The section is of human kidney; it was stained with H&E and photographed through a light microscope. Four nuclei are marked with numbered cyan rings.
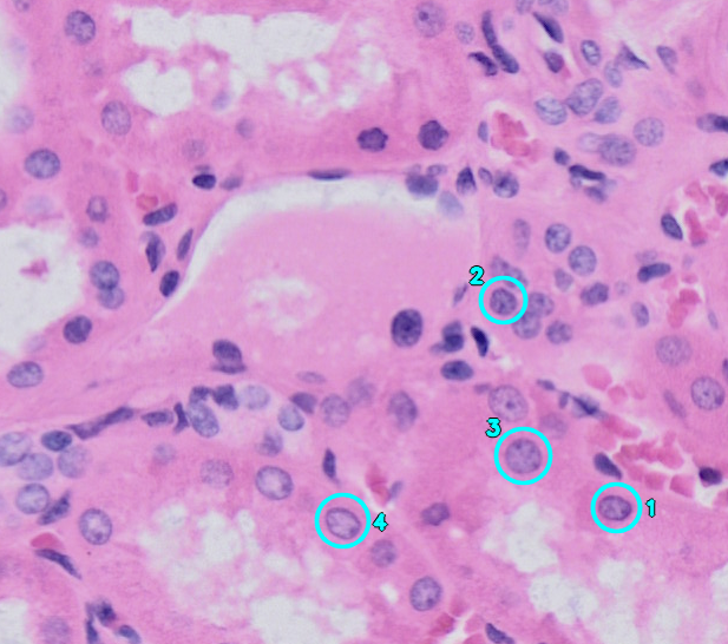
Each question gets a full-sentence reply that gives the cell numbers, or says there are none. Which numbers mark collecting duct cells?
Mind that only cell 2 is a collecting duct cell, none of the rest.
